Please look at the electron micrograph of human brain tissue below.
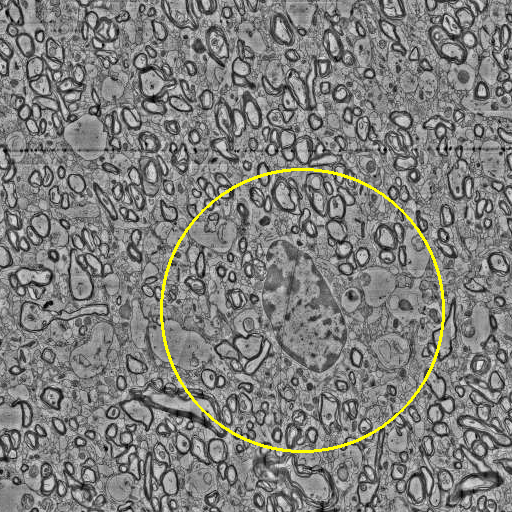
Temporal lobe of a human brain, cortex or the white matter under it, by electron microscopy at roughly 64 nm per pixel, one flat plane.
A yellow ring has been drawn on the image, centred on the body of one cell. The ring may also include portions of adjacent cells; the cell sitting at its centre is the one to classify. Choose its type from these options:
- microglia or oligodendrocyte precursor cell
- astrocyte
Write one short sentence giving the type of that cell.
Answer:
The cell in the middle of the ring is a microglial cell or oligodendrocyte precursor cell.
